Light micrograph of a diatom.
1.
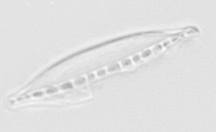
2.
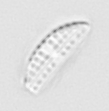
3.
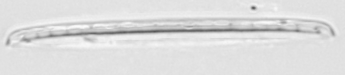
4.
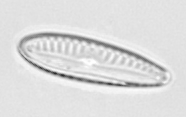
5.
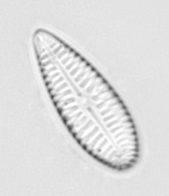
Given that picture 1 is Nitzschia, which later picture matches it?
3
